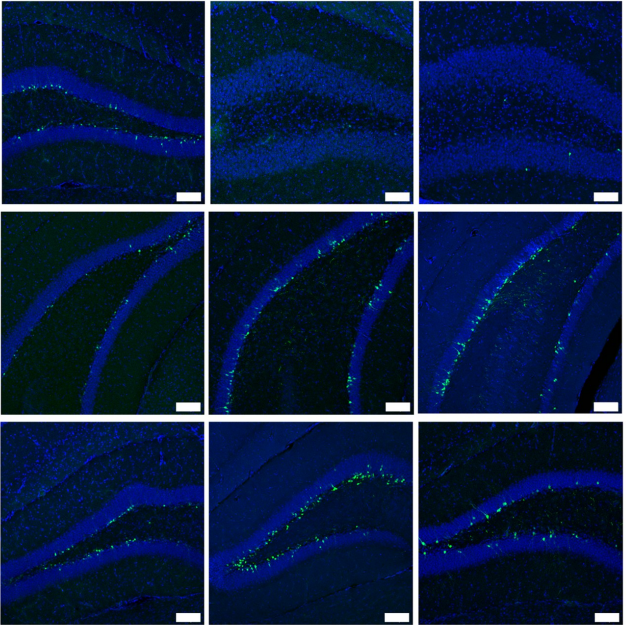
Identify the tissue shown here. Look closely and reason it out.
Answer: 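Two blades of densely packed blue-stained cells join in a V or C shape. A cell-sparse zone lies between the two blades.
Hence: dentate.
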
